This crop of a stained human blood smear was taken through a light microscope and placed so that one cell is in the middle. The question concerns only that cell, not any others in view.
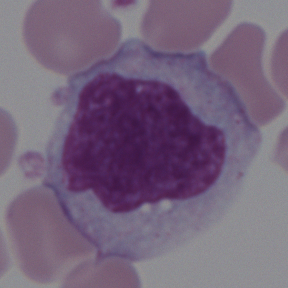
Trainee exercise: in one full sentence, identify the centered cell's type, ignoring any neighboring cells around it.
For this crop, the central cell is a monocyte.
